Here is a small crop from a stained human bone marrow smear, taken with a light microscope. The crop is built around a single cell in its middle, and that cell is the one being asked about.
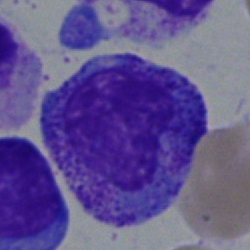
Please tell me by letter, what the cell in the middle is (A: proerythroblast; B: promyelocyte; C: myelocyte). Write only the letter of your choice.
B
